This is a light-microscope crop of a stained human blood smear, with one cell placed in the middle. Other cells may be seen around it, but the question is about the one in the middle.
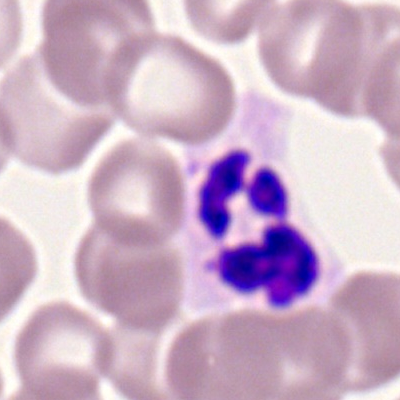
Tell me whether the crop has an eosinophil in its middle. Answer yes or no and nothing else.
no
